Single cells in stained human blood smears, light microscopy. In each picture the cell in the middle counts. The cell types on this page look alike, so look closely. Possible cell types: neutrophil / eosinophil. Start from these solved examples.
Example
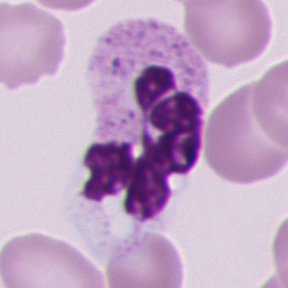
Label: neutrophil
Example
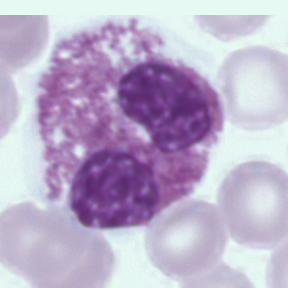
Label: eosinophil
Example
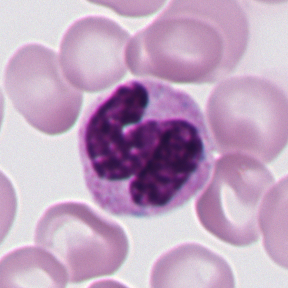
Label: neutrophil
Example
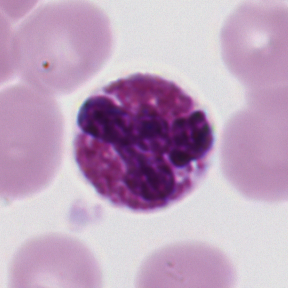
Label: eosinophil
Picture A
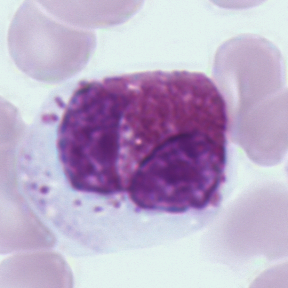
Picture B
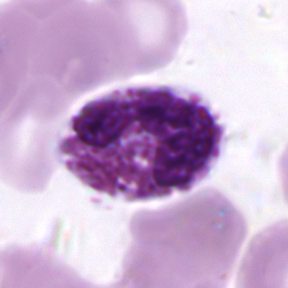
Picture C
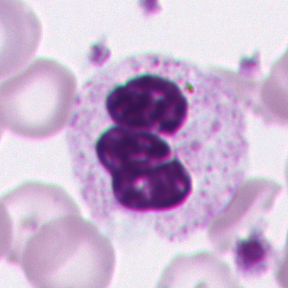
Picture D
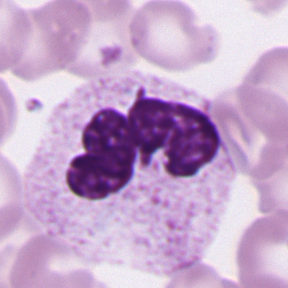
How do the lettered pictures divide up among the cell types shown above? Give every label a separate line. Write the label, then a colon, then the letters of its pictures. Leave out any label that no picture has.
neutrophil: C, D
eosinophil: A, B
